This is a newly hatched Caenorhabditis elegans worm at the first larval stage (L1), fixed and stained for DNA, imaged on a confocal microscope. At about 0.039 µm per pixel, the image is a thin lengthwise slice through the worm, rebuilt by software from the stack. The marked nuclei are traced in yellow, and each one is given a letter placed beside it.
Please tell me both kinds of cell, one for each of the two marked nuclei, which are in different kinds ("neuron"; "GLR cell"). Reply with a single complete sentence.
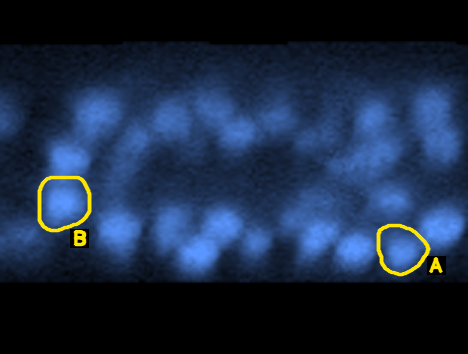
Nucleus A comes from a neuron and nucleus B from a GLR cell.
